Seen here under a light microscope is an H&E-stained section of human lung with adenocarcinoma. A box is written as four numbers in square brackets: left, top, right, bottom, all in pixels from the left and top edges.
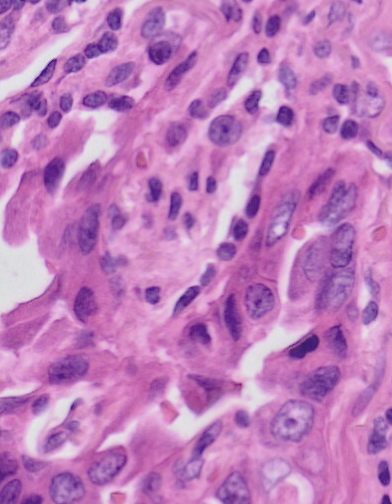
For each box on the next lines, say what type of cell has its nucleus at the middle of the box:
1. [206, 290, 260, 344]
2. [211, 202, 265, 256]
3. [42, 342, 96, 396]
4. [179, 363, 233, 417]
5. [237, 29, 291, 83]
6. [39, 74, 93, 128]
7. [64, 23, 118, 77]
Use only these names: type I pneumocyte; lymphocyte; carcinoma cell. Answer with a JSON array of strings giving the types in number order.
["carcinoma cell", "lymphocyte", "carcinoma cell", "carcinoma cell", "lymphocyte", "lymphocyte", "lymphocyte"]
